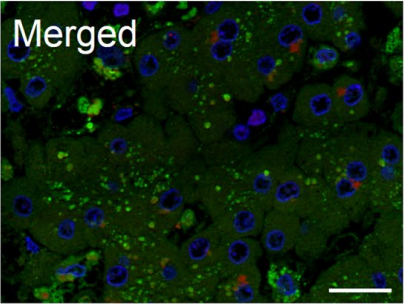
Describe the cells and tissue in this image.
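Liver tissue of closely packed hepatocytes is seen, their polygonal outlines shown by a faint green cytoplasmic haze. Each cell carries a large round blue nucleus, and a few cells look to hold two. The cytoplasm is studded with many small bright green granules, some gathered in clumps near cell edges. Red dots are sparse and mostly lie apart from the green granules.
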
